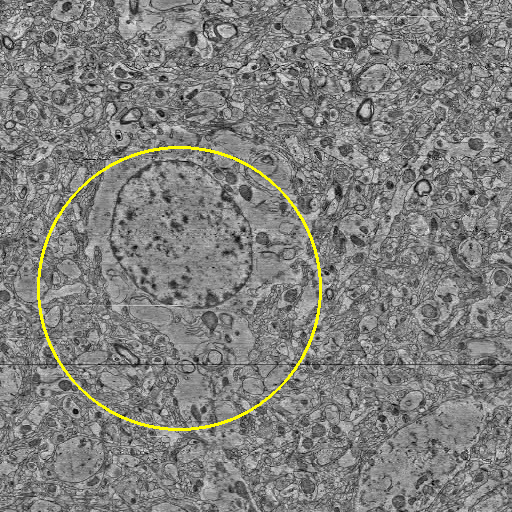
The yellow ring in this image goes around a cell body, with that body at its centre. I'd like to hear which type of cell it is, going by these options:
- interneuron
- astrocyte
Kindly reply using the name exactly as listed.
astrocyte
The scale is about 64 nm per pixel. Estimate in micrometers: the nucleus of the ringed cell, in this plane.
Roughly 10 by 9 micrometres in this plane, for the nucleus of the ringed cell.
